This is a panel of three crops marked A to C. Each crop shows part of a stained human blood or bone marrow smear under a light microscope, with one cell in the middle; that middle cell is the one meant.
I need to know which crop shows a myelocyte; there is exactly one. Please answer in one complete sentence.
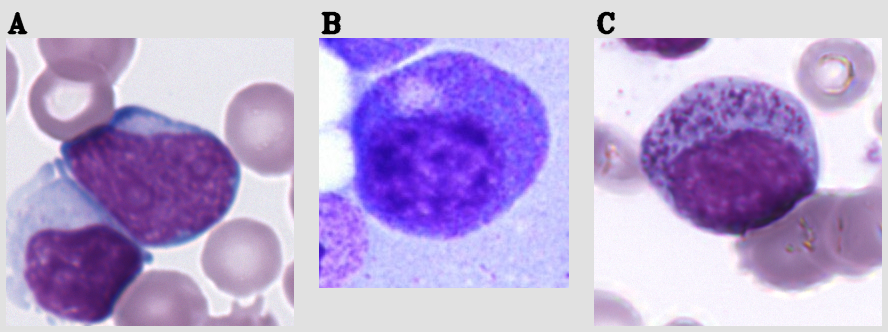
It is in crop C that a myelocyte is shown.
